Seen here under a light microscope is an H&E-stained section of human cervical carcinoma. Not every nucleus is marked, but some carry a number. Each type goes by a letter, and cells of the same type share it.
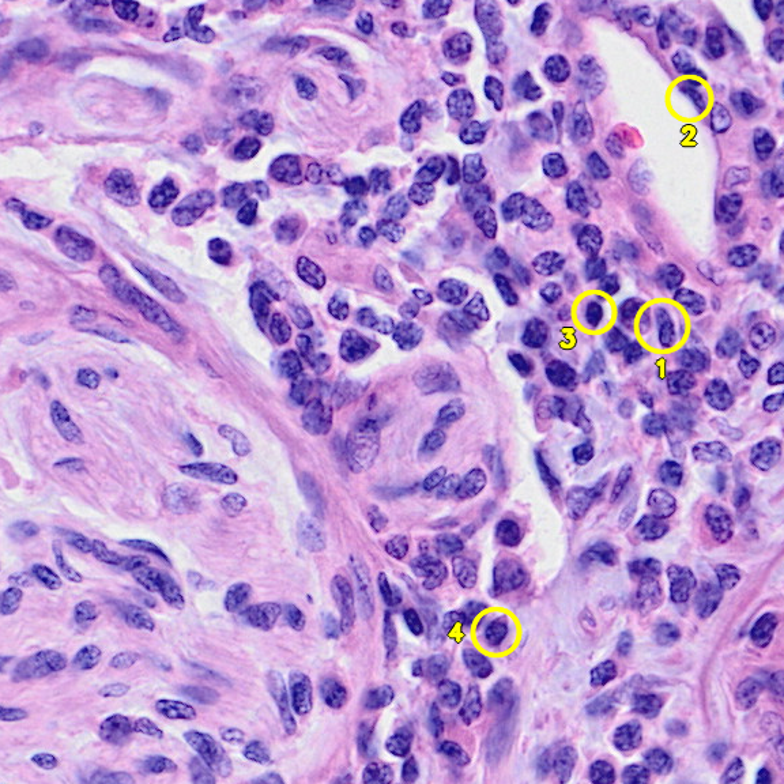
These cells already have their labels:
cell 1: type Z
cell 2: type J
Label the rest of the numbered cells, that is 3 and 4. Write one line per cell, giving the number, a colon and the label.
3: type Z
4: type Z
